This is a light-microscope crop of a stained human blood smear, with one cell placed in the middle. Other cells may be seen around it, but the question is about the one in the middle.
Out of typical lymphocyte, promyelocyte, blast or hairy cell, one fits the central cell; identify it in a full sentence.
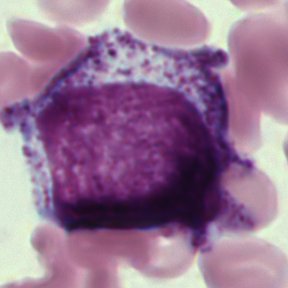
What sits at the centre of this crop is a promyelocyte.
